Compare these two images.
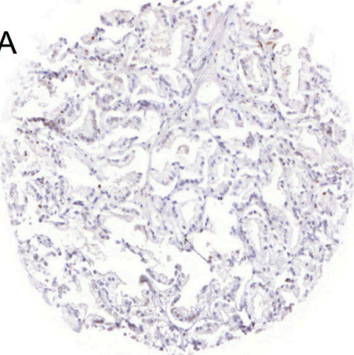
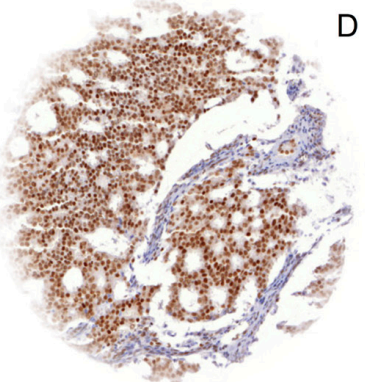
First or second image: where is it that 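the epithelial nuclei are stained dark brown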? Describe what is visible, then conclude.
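Second image: nearly all tumour cell nuclei are dark brown.
The second image.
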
